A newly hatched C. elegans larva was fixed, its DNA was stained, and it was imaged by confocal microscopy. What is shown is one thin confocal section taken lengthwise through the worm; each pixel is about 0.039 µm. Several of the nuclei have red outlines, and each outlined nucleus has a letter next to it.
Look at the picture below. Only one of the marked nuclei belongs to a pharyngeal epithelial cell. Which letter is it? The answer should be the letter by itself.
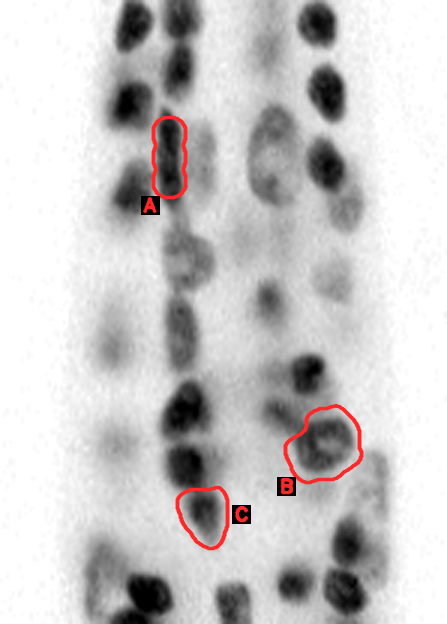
A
